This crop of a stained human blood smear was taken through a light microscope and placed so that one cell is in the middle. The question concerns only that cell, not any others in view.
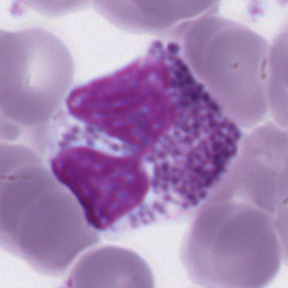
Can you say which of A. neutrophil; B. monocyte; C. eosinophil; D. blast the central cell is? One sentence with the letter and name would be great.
At the centre of the crop lies an eosinophil, which makes option C correct.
